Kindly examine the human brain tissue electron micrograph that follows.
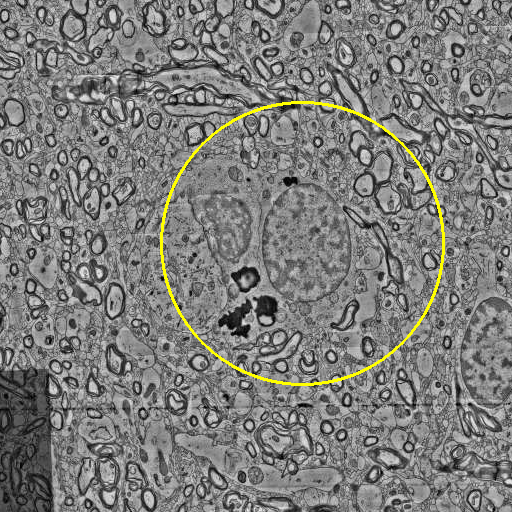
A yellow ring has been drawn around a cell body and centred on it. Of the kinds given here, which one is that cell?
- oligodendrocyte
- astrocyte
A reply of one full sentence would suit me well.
The micrograph's ringed cell, the one at the ring's centre, is an oligodendrocyte.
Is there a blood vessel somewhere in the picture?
No, there is no blood vessel.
